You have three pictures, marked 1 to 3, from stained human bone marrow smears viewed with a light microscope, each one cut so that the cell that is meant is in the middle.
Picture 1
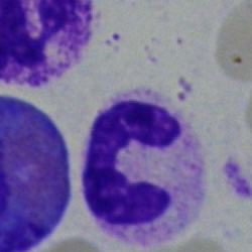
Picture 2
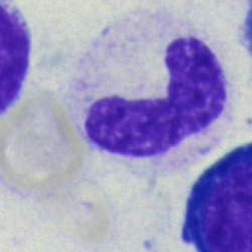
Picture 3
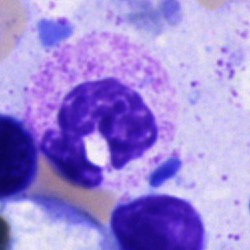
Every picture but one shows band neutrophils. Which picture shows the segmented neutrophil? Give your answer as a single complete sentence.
The segmented neutrophil is the one in picture 3.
